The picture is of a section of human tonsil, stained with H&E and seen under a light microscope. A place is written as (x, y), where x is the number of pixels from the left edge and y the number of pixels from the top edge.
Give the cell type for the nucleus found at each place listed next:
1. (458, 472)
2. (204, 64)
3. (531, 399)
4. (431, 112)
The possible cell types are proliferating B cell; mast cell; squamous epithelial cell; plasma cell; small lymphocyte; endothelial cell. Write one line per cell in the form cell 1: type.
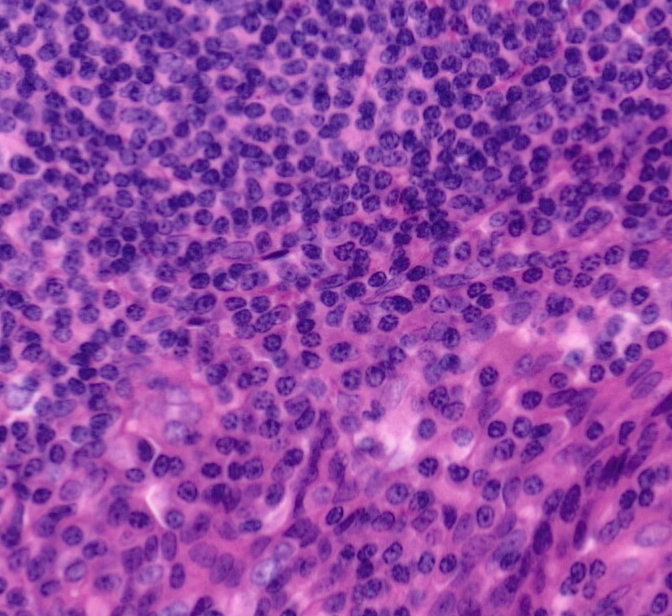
cell 1: plasma cell
cell 2: small lymphocyte
cell 3: plasma cell
cell 4: small lymphocyte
